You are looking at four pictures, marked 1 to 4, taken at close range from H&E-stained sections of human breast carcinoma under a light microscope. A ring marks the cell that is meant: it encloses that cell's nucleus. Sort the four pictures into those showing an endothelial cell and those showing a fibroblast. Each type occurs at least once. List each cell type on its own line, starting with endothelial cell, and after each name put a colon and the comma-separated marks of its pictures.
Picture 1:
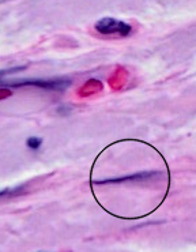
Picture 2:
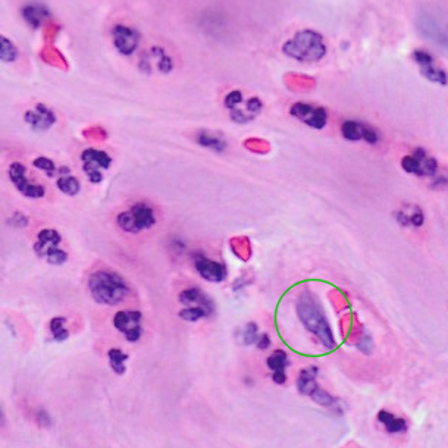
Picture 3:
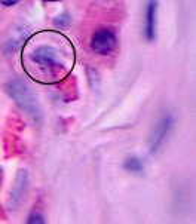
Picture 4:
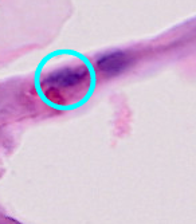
endothelial cell: 2, 3, 4
fibroblast: 1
